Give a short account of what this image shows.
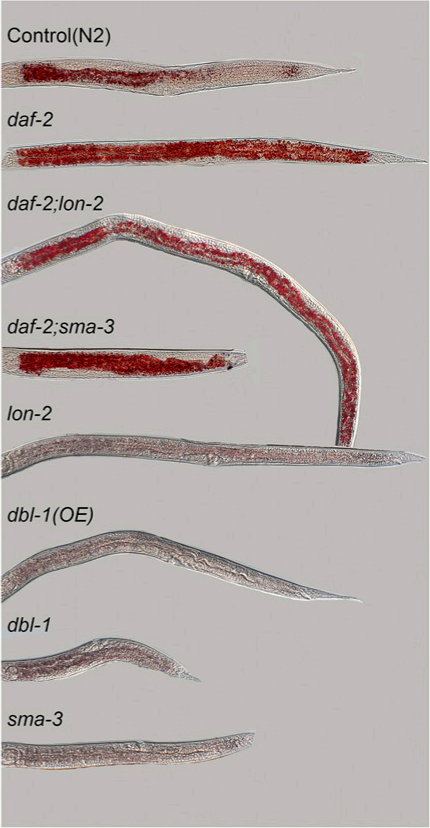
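In the top four animals, dense red droplets fill the gut along most of the body, while the lower four show only faint, sparse red tint in the gut. The animals differ clearly in length, with one very long animal and a few short ones.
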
